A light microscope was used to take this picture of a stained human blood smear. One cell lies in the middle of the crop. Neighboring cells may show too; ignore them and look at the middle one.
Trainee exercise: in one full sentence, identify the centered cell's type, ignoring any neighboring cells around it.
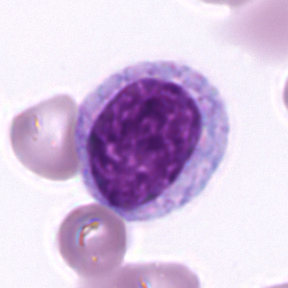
Answering briefly, the cell in the middle is a myelocyte.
